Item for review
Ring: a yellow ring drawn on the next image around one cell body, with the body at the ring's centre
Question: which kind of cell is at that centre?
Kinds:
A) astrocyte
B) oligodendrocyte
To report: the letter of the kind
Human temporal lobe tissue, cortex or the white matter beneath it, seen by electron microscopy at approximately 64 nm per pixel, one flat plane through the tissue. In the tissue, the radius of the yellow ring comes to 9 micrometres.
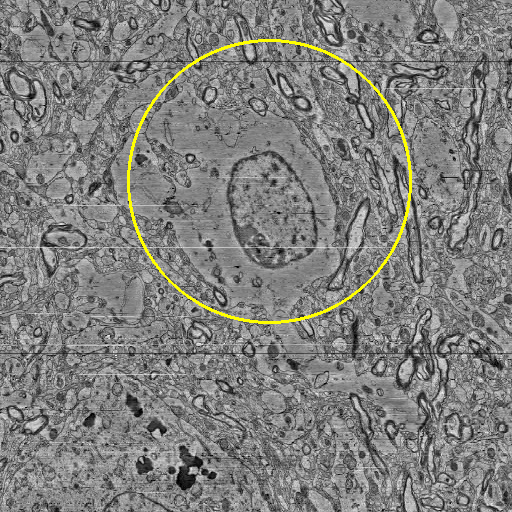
A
